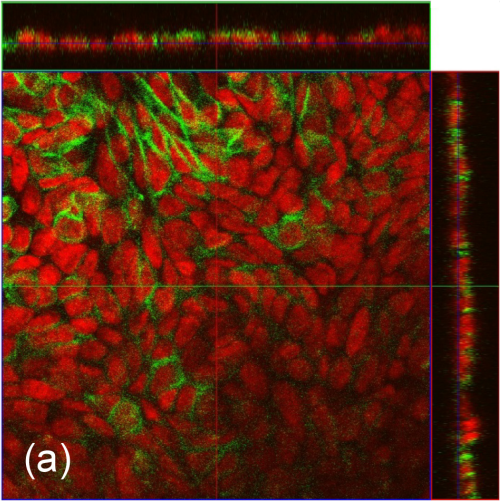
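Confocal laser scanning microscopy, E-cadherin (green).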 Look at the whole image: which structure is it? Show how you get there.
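Monolayers. The side strips show a single thin layer of cells. The red nuclei in the side strips lie in one row.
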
